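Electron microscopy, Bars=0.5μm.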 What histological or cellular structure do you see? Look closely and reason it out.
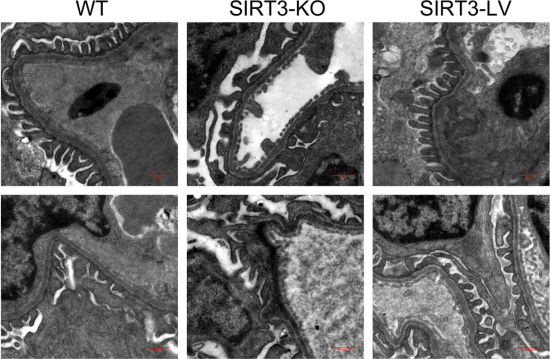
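Podocyte foot process. Many small regularly spaced projections sit in a row along a dark continuous membrane line. The projections interdigitate side by side with narrow gaps between them. In several fields the projections are broadened and flattened along the membrane.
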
